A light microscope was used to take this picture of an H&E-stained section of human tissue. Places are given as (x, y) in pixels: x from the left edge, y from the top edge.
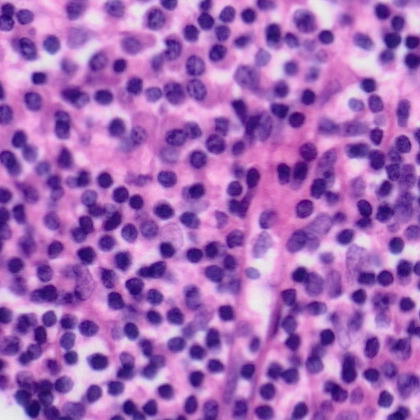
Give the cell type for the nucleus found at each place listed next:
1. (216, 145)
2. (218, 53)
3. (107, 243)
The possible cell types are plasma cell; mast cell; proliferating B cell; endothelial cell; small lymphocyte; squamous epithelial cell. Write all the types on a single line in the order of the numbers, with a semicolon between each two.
plasma cell; plasma cell; small lymphocyte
